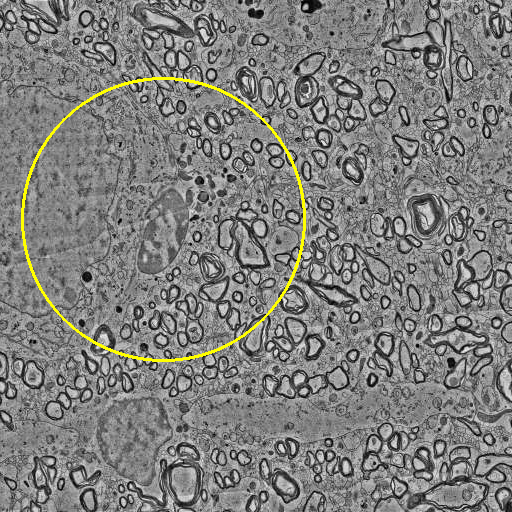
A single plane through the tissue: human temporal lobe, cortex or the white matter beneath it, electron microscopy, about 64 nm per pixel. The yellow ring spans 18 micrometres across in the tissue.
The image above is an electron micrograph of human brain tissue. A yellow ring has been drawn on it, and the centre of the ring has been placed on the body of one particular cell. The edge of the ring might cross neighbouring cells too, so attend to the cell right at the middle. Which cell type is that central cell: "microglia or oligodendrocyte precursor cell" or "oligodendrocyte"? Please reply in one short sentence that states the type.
The central cell in the ring is a microglial cell or oligodendrocyte precursor cell.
